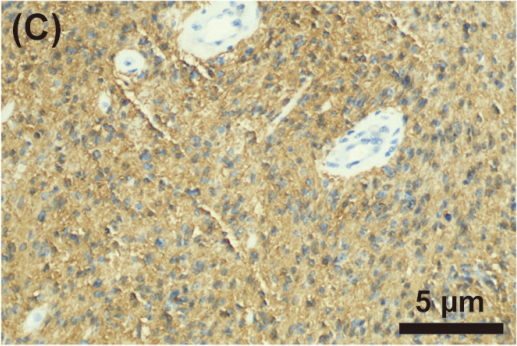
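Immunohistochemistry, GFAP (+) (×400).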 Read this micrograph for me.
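Tumor cells with small round to oval blue nuclei lie evenly spaced in a dense, finely fibrillary background that is stained brown throughout, the brown threads weaving between and around the nuclei. The nuclei are fairly uniform with little variation in size, and the cells appear to lack sharp borders, merging into the stained meshwork of their processes.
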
